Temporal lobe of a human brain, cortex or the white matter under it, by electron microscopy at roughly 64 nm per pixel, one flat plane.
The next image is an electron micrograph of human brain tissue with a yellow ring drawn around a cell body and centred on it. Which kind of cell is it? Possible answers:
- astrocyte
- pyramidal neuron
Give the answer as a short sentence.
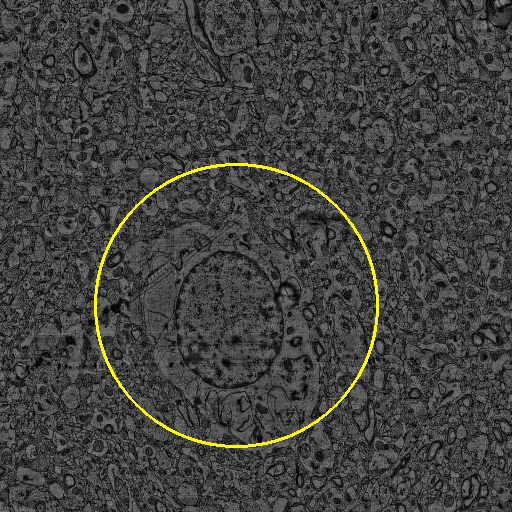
In the ring's centre is an astrocyte.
